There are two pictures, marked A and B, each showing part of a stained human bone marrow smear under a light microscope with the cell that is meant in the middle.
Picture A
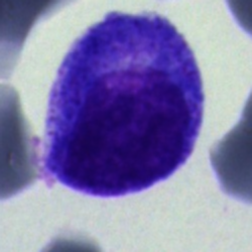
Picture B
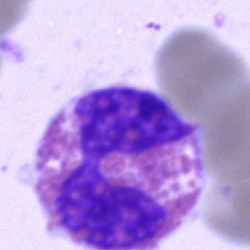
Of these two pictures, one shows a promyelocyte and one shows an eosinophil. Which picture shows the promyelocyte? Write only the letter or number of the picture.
A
